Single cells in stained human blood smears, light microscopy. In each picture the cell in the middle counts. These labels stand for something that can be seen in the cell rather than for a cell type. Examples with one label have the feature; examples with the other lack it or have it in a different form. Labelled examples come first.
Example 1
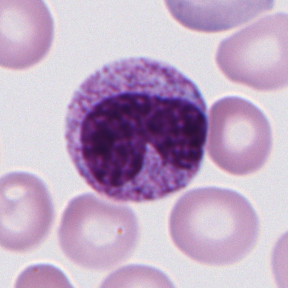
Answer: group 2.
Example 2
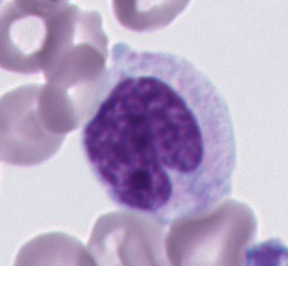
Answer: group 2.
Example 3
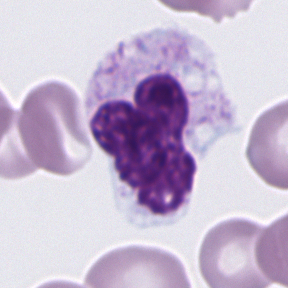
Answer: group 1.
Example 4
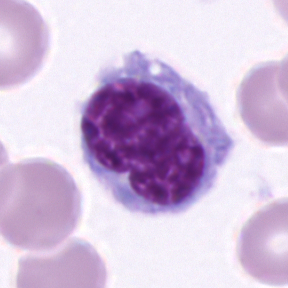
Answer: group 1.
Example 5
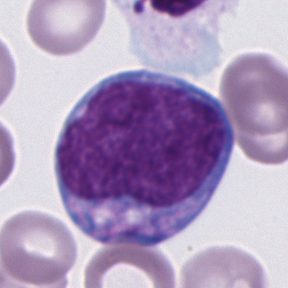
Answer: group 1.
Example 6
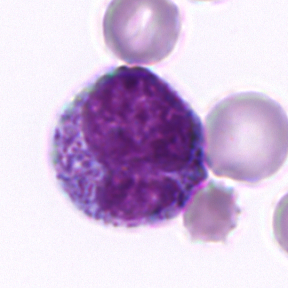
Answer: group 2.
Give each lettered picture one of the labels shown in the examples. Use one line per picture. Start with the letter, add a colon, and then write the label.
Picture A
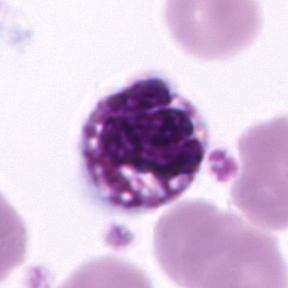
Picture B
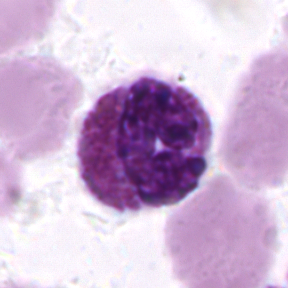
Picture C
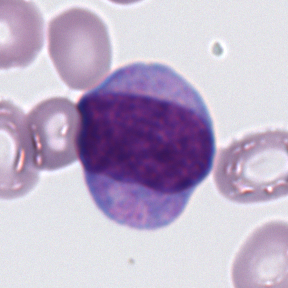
A: group 1.
B: group 2.
C: group 2.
